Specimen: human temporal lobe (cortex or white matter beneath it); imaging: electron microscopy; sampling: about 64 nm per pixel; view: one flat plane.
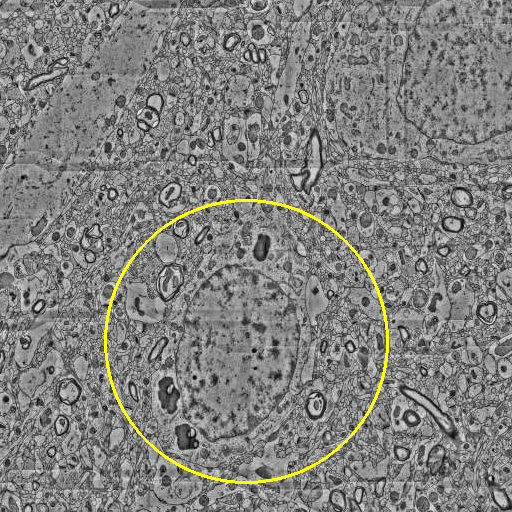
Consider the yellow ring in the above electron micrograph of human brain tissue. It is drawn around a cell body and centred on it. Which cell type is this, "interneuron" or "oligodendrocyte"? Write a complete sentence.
The cell in question is an interneuron.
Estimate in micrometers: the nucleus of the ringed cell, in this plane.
The nucleus appears roughly 11 by 8 micrometres in this plane.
